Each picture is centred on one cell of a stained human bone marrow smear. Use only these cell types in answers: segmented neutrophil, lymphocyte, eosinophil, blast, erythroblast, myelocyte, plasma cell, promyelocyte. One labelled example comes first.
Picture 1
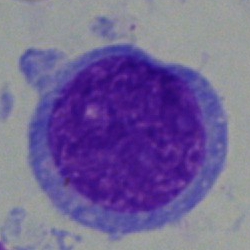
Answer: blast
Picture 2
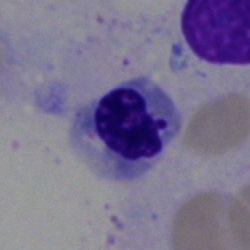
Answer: erythroblast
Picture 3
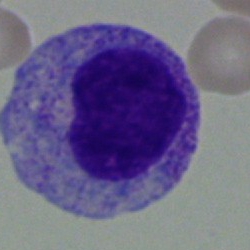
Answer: myelocyte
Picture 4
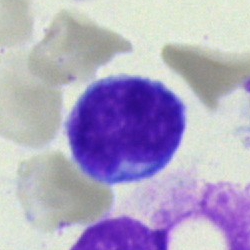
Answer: blast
